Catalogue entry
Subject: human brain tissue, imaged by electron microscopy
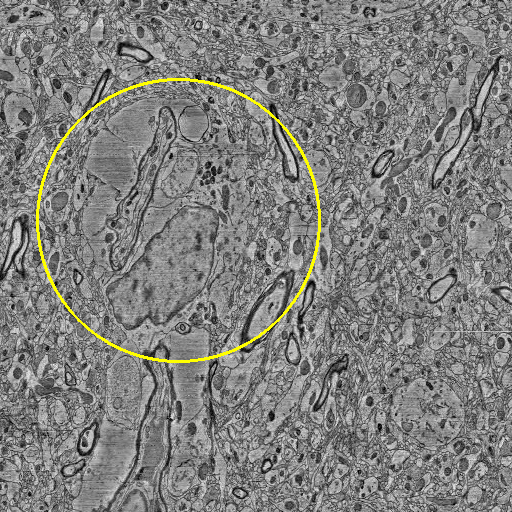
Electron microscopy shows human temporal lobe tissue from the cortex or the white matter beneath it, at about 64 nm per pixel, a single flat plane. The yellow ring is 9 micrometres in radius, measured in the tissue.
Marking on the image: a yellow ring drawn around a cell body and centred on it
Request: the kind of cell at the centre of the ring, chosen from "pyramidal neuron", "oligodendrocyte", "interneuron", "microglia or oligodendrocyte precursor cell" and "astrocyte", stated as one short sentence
The ring has a microglial cell or oligodendrocyte precursor cell at its centre.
